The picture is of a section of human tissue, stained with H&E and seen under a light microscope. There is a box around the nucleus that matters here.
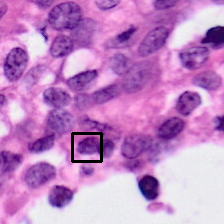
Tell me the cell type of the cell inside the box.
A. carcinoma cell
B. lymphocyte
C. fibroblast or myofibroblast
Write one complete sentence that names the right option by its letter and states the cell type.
Option A is accurate, for the cell inside the box is a carcinoma cell.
